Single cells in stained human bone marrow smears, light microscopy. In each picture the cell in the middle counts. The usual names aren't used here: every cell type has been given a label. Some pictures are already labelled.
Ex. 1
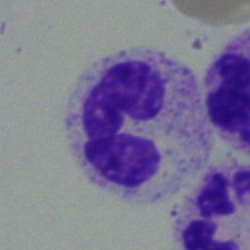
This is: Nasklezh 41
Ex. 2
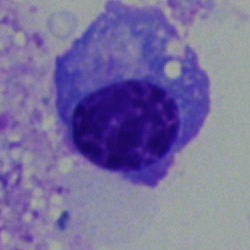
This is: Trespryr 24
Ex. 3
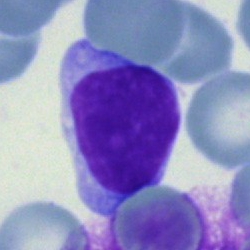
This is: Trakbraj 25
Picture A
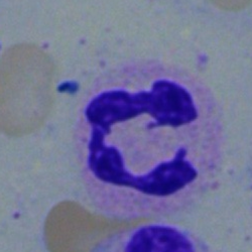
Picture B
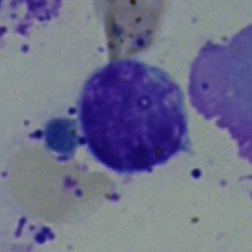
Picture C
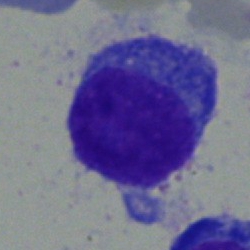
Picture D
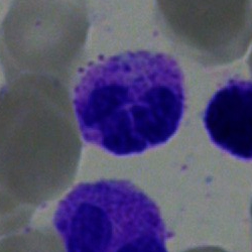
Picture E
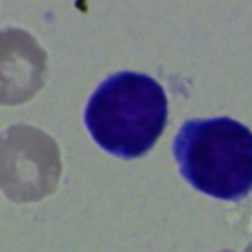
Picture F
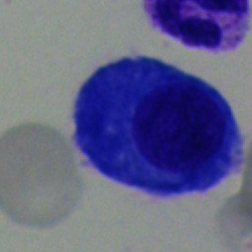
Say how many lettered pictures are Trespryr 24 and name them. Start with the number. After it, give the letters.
2: C, F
